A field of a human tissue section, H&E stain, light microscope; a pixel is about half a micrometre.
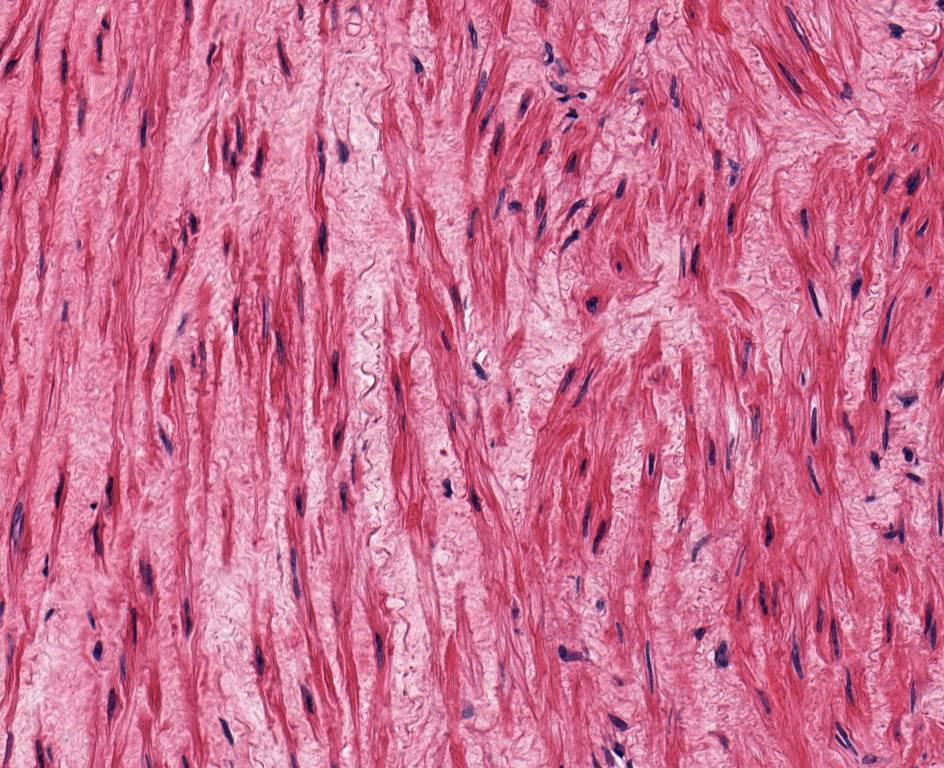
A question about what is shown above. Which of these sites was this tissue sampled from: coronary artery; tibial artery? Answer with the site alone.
tibial artery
